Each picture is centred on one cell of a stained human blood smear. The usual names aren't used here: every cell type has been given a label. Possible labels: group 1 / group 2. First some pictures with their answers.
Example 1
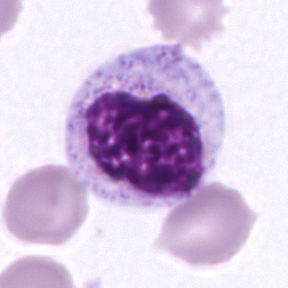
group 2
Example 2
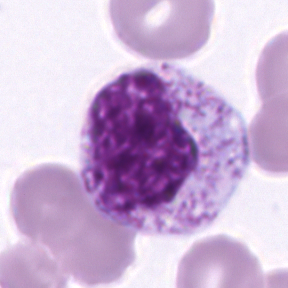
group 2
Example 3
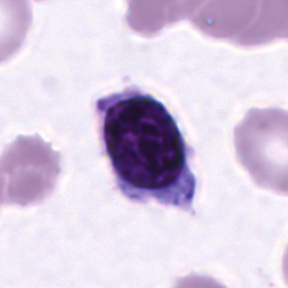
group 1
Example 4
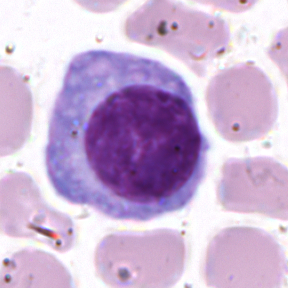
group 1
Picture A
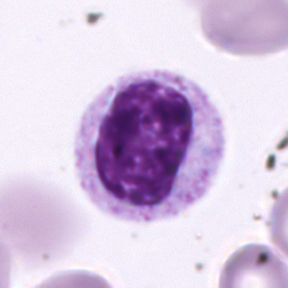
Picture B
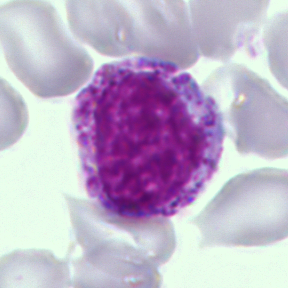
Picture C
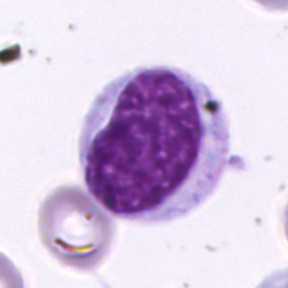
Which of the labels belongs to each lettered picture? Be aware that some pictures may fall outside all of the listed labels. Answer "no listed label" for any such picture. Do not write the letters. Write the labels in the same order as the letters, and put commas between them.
group 2, no listed label, group 2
